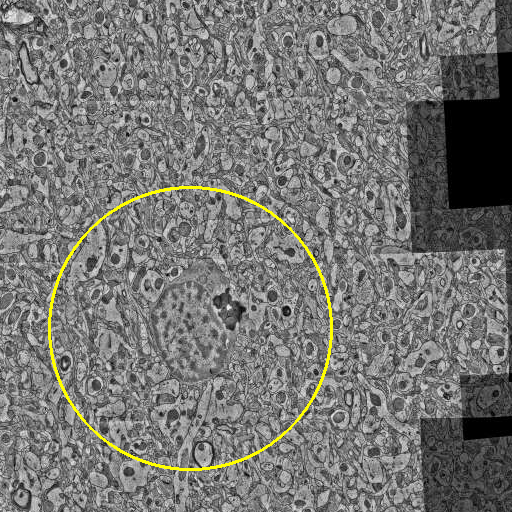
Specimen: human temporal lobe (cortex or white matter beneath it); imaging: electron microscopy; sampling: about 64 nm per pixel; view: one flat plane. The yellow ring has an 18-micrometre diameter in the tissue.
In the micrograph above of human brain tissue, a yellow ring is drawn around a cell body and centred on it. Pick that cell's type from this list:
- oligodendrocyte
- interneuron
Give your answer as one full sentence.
Going by the list, an oligodendrocyte is the cell on which the yellow ring is centred.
